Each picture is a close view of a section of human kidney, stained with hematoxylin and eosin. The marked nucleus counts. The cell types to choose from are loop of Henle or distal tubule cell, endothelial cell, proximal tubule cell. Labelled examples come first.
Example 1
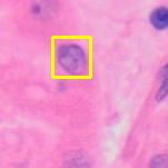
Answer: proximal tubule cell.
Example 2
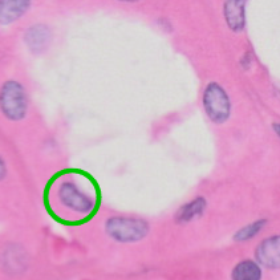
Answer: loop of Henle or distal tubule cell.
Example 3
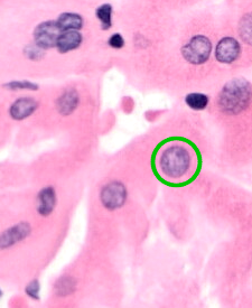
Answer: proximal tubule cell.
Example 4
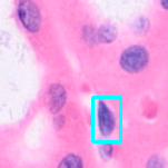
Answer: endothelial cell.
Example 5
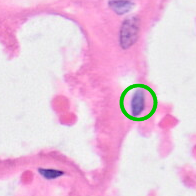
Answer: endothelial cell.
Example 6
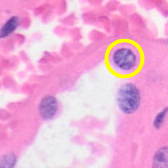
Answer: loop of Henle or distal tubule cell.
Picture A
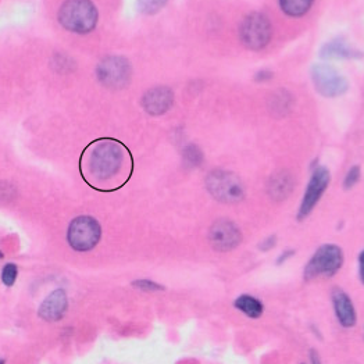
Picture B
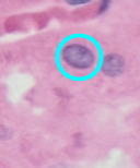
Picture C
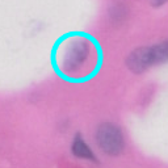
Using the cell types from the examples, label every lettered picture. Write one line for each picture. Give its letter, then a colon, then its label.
A: proximal tubule cell.
B: proximal tubule cell.
C: loop of Henle or distal tubule cell.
